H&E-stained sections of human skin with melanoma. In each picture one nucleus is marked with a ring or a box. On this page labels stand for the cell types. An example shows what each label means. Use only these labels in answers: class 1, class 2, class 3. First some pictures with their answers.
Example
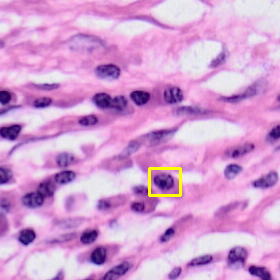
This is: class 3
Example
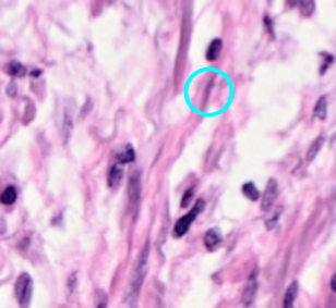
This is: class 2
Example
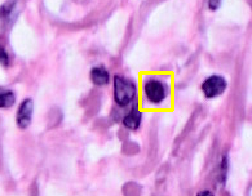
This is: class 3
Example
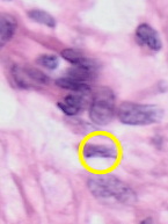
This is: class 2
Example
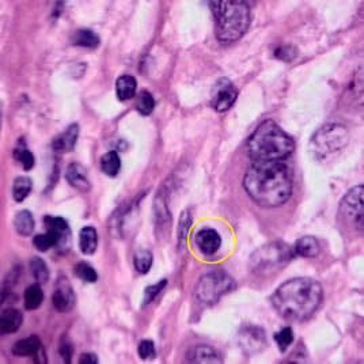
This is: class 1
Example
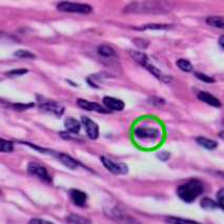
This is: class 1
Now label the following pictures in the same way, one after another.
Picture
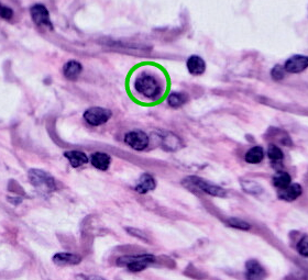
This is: class 3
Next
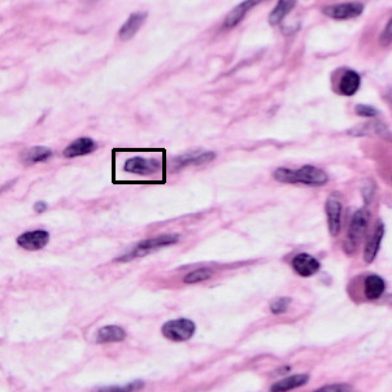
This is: class 1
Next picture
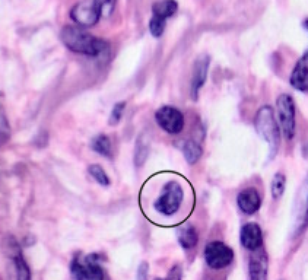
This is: class 1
